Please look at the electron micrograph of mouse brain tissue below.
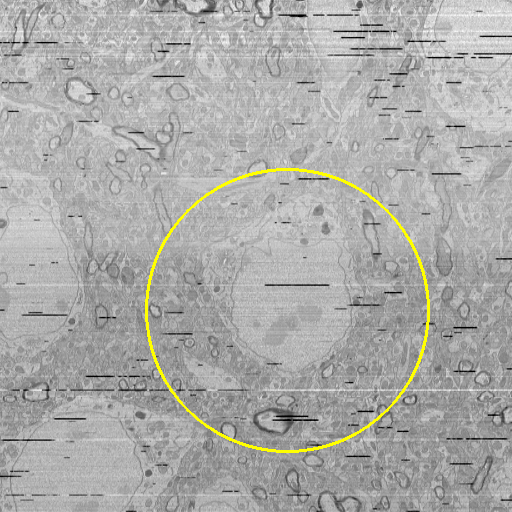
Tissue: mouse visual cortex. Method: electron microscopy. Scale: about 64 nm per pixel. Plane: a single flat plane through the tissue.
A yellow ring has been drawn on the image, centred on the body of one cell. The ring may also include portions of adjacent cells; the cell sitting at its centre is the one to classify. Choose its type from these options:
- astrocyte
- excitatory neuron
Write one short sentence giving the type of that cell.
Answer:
The cell in the middle of the ring is an excitatory neuron.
